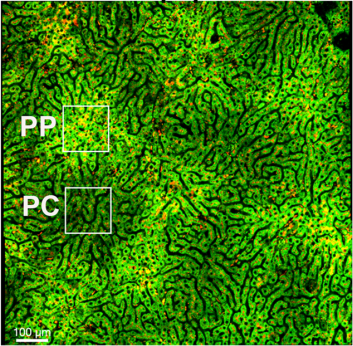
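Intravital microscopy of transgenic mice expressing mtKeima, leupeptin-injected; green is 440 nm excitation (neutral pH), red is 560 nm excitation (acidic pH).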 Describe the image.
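Many small red to orange dots are strewn through the green cells. These dots cluster more densely in some areas of the lobule than in others. Together the dots give parts of the tissue a speckled yellowish look.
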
